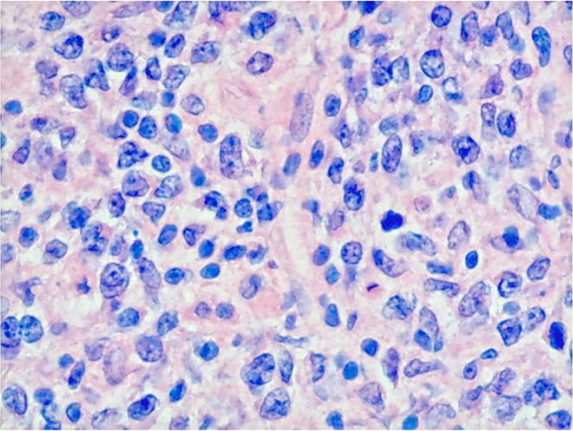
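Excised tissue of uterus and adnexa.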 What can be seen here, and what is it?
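This high-power view shows densely packed tumor cells lying loosely in a pale pink background. The cytoplasm is scant and faintly pink, so cell borders are hard to make out. Scattered among them is a small, intensely dark, condensed nucleus set apart from the paler ones.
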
